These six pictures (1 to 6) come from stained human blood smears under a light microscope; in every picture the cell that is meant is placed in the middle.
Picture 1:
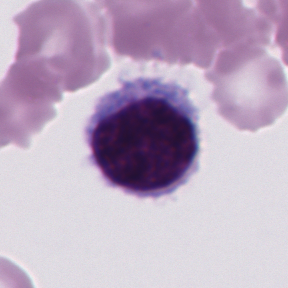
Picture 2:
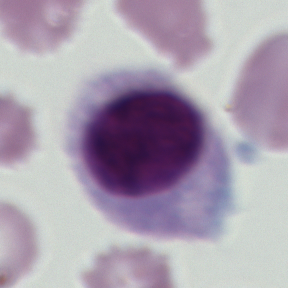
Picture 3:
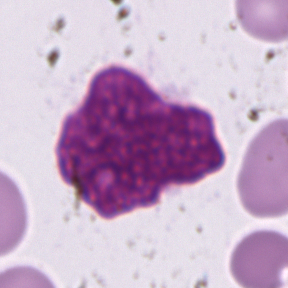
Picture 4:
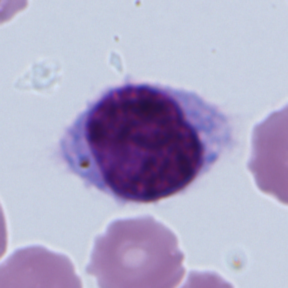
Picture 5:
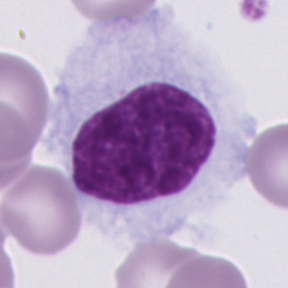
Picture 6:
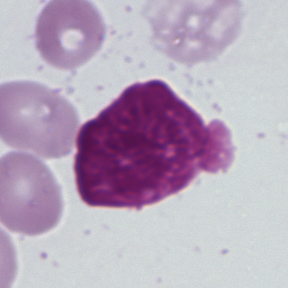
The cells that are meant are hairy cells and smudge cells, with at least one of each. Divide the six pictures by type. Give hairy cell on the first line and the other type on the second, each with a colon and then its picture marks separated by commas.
hairy cell: 1, 2, 4, 5
smudge cell: 3, 6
